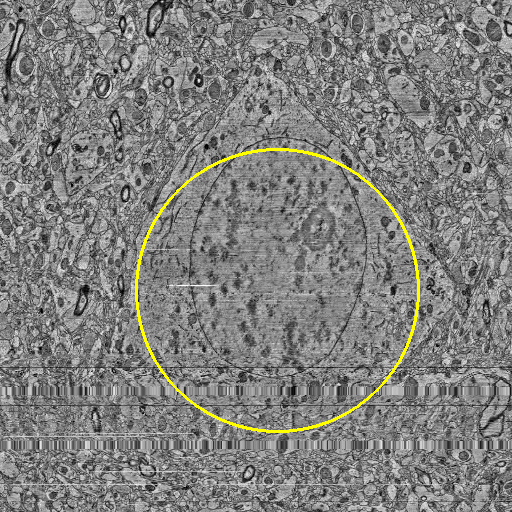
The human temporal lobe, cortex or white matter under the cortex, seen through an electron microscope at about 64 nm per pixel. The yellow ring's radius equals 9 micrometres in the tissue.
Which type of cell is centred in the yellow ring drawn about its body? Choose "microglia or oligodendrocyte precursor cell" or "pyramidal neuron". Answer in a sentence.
The yellow ring surrounds the cell body of a pyramidal neuron.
